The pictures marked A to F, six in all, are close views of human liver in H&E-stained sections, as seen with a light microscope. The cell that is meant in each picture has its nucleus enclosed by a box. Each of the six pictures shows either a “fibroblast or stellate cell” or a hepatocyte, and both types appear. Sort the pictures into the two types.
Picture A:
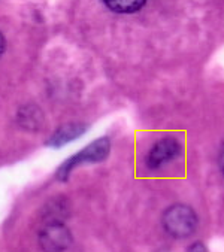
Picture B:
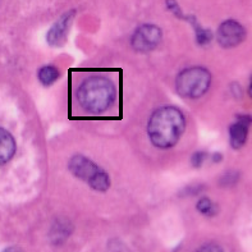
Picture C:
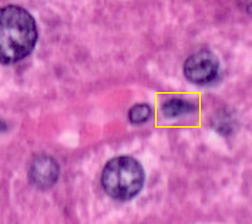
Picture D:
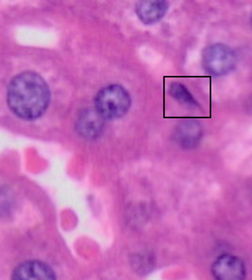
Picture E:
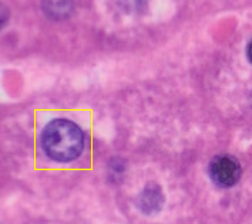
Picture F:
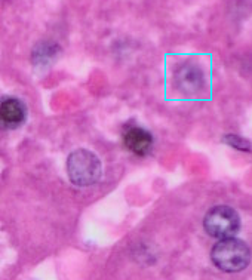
A: fibroblast or stellate cell
B: hepatocyte
C: fibroblast or stellate cell
D: fibroblast or stellate cell
E: hepatocyte
F: hepatocyte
